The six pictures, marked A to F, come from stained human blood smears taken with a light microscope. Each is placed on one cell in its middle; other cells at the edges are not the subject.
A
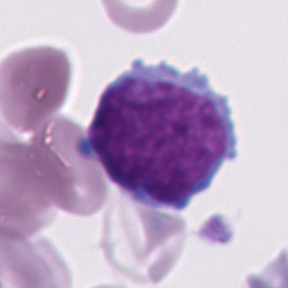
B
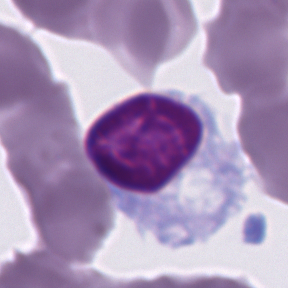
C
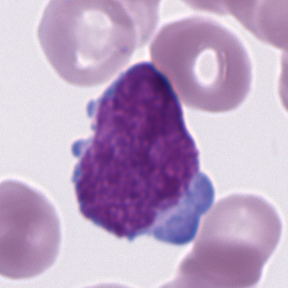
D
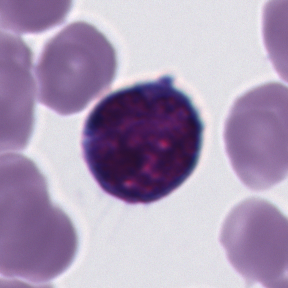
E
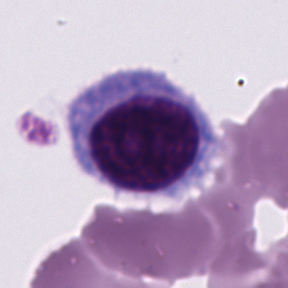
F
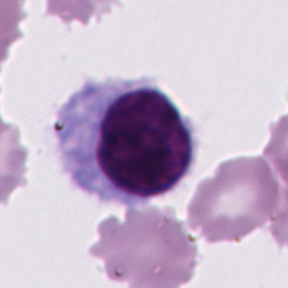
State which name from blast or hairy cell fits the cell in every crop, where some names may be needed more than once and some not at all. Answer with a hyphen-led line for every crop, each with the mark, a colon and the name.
- A: blast
- B: hairy cell
- C: blast
- D: blast
- E: hairy cell
- F: hairy cell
